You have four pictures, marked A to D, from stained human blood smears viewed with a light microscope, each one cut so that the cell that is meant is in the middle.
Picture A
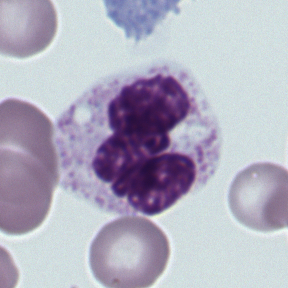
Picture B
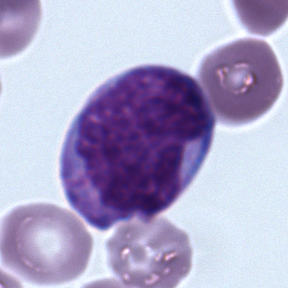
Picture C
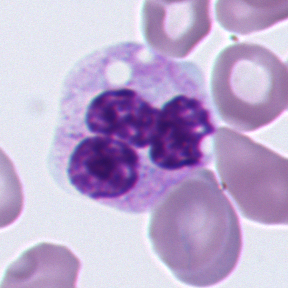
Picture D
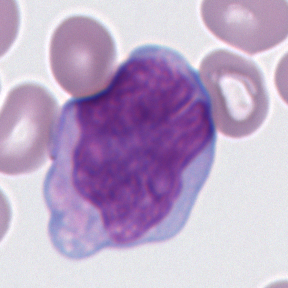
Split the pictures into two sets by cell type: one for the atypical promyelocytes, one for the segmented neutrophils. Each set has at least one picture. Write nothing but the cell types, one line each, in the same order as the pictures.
segmented neutrophil
atypical promyelocyte
segmented neutrophil
atypical promyelocyte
